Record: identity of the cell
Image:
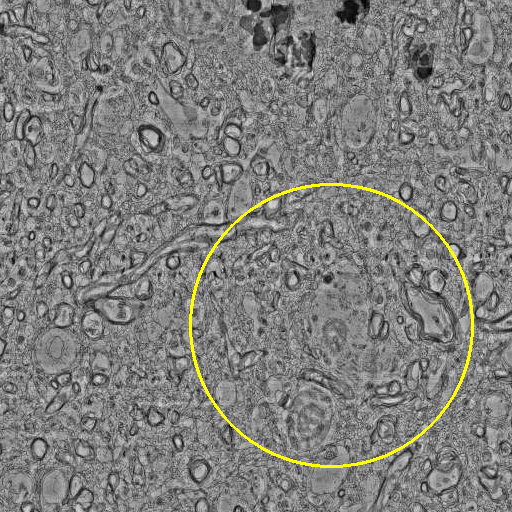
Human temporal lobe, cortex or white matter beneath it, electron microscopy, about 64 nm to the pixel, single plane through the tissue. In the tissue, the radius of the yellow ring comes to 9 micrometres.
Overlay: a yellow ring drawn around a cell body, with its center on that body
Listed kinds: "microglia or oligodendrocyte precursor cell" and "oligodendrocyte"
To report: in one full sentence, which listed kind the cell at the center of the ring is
In the image, the cell body at the ring's center belongs to a microglial cell or oligodendrocyte precursor cell.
